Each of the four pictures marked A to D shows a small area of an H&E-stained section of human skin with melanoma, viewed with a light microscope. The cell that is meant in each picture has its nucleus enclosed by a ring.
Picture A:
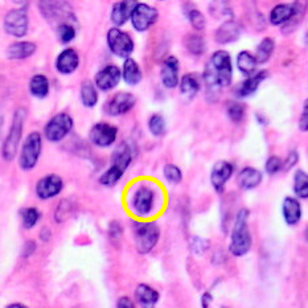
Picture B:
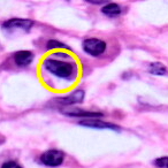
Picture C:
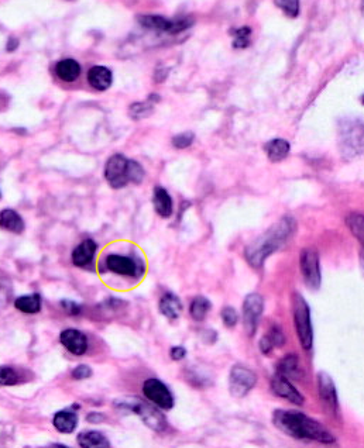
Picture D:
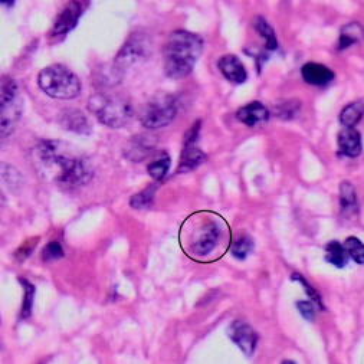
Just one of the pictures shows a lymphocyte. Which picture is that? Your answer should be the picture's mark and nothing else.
A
